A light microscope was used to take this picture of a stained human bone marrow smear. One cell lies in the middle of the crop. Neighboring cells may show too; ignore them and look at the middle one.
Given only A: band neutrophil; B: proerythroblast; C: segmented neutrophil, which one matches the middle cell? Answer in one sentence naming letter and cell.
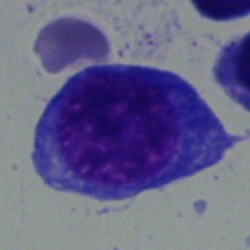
The cell at the heart of the crop is a proerythroblast, so choose option B.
